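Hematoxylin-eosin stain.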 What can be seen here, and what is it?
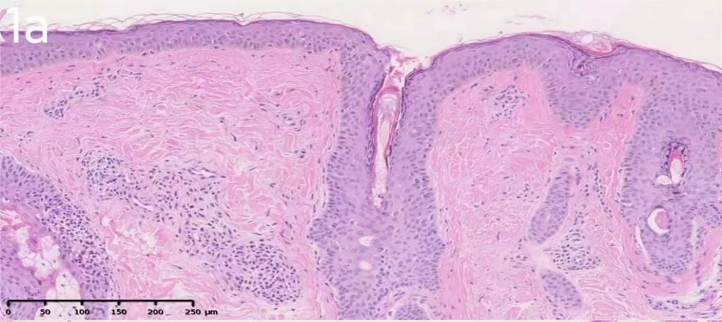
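This is skin, with a stratified squamous epidermis in purple across the top and pink collagen of the dermis beneath it. In the middle the epidermis folds down into a narrow follicular opening that holds a plug of pink keratin. In the dermis, small vessels and adnexal structures are surrounded by dense collections of small, dark-staining inflammatory cell nuclei. At the lower left lie pale, bubbly lobules of sebaceous gland cells.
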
